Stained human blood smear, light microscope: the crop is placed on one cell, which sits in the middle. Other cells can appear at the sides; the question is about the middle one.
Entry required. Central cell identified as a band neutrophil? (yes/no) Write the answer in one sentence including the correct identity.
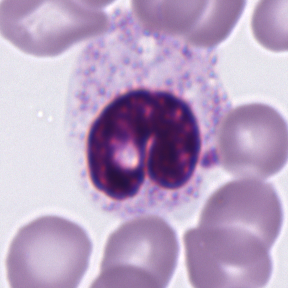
Yes, the central element of the crop is a band neutrophil.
